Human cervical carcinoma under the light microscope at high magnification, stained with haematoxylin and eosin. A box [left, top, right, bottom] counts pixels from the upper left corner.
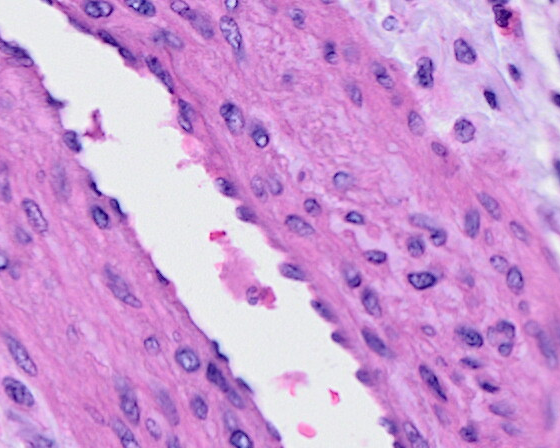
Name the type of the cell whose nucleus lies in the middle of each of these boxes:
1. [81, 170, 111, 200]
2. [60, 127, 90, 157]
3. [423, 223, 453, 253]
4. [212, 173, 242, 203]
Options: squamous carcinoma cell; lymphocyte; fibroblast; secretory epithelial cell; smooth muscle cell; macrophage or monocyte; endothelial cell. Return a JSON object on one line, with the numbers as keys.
{"1": "endothelial cell", "2": "endothelial cell", "3": "smooth muscle cell", "4": "endothelial cell"}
